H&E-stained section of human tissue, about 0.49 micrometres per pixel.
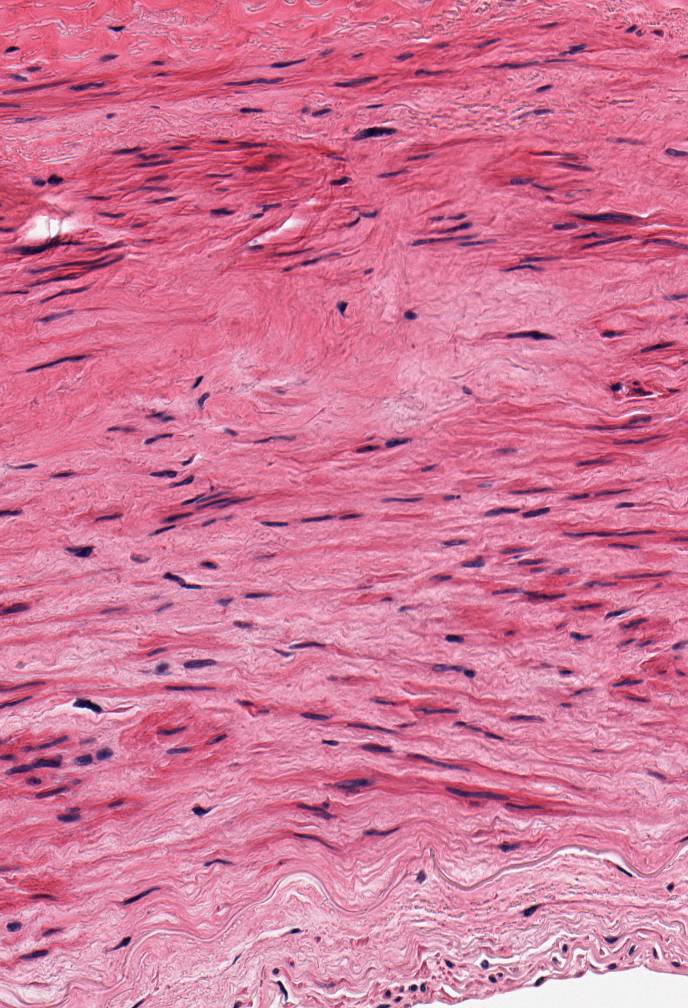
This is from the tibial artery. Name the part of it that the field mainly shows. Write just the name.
tunica media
